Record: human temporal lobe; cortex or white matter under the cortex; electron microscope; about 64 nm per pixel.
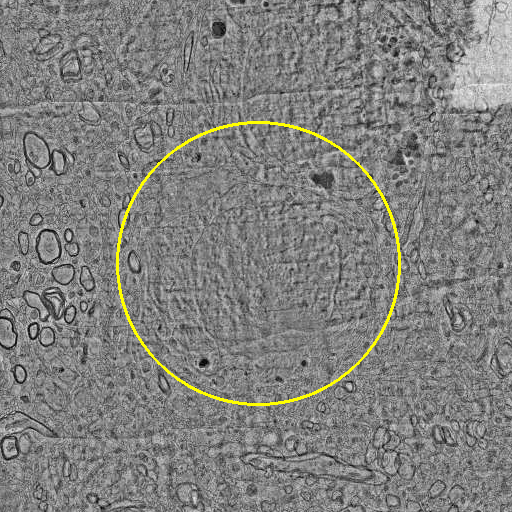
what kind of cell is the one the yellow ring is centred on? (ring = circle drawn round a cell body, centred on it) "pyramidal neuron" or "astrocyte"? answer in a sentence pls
The ring is drawn around a pyramidal neuron.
